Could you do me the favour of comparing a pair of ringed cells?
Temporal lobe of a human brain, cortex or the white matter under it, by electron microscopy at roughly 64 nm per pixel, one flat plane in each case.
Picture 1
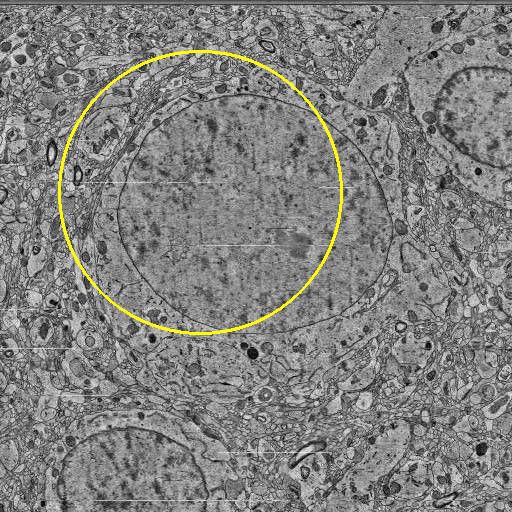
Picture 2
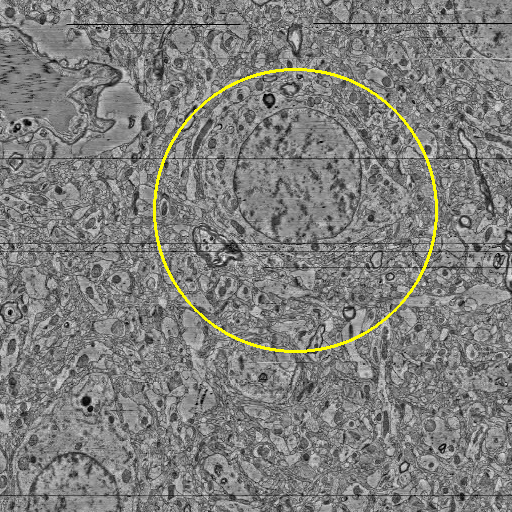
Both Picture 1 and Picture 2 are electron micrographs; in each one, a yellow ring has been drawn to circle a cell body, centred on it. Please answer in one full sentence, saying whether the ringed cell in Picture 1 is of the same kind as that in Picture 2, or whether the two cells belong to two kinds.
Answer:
The ringed cell in Picture 1 is of the same kind as that in Picture 2.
